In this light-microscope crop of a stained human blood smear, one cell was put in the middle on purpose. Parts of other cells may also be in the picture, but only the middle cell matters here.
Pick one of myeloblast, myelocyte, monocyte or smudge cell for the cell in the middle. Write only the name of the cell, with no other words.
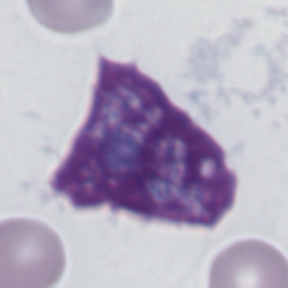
smudge cell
